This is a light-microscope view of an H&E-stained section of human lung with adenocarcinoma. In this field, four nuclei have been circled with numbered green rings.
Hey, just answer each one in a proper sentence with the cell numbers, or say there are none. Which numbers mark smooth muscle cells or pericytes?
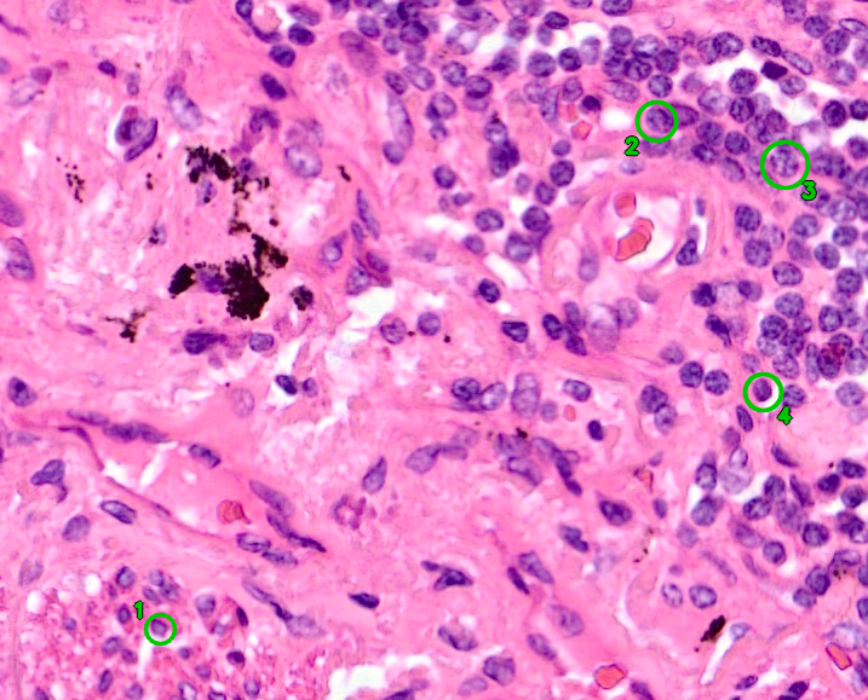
Cell 1 stands alone among the numbered cells as a smooth muscle cell or pericyte.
